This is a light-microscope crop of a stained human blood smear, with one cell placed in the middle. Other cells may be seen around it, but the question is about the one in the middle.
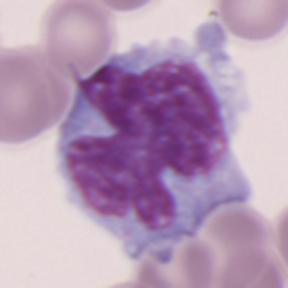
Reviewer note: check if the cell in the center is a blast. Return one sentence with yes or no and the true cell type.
No, it is a monocyte, not a blast, that lies at the centre of the crop.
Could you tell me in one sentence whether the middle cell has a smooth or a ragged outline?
Projections or ragged segments give this cell an irregular rather than smooth border.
